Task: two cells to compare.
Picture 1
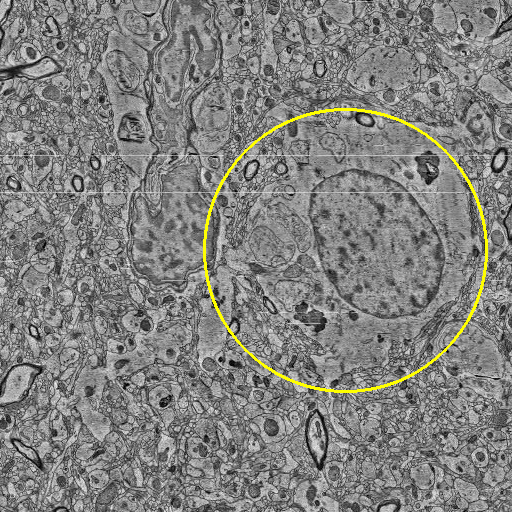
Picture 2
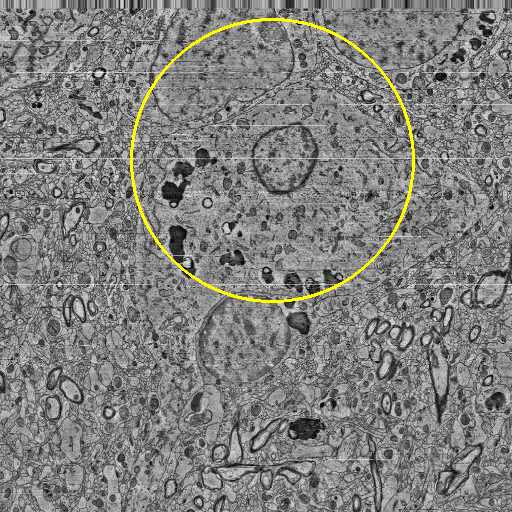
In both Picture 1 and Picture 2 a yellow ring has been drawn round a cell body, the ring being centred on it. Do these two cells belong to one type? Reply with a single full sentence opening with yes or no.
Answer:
No, the two cells at the ring centres in Picture 1 and Picture 2 are of two types.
